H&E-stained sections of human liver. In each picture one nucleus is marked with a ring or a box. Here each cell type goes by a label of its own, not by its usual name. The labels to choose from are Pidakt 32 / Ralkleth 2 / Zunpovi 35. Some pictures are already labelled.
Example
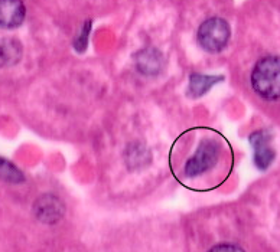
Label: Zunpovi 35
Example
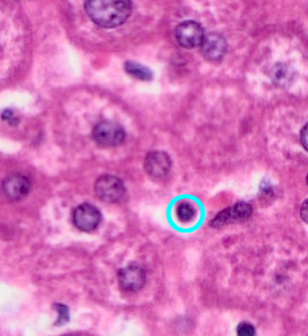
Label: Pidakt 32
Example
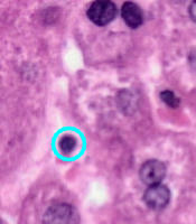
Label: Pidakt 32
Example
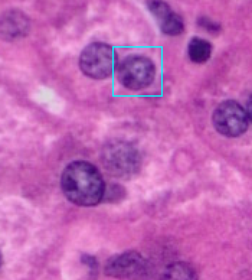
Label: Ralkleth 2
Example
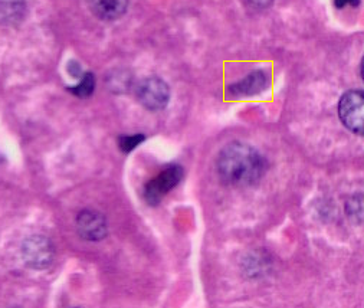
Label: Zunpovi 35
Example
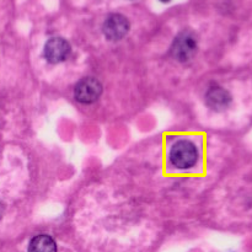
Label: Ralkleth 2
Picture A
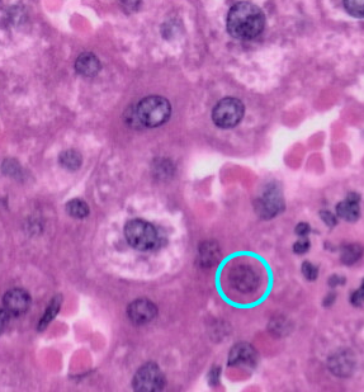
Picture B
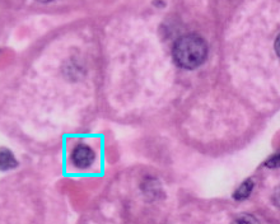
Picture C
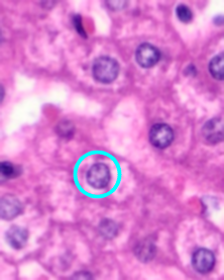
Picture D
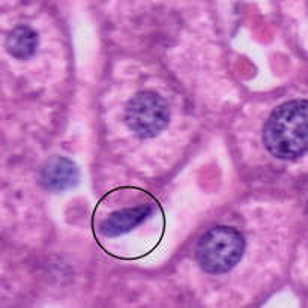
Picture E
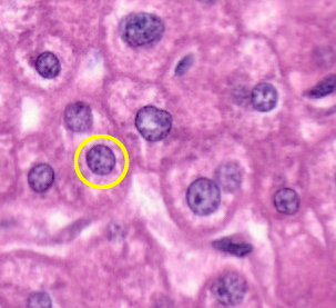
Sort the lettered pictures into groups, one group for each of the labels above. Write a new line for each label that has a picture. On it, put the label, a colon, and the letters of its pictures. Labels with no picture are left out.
Pidakt 32: B
Ralkleth 2: A, C, E
Zunpovi 35: D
